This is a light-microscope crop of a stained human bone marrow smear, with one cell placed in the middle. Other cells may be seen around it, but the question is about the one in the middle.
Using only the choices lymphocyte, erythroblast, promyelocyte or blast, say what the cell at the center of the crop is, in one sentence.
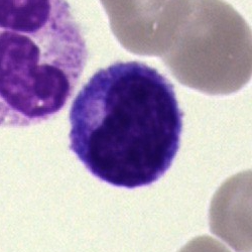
The target cell in the middle of the crop is a lymphocyte.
